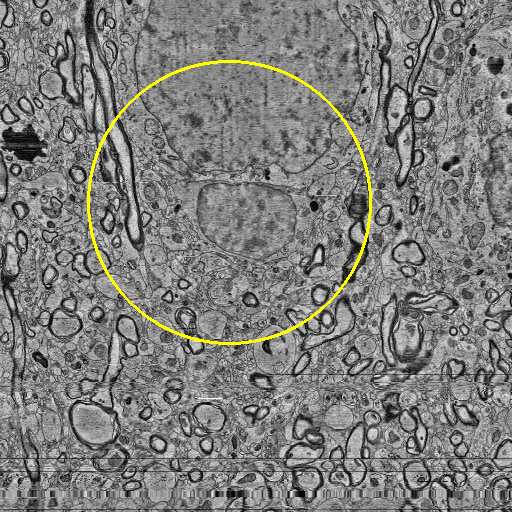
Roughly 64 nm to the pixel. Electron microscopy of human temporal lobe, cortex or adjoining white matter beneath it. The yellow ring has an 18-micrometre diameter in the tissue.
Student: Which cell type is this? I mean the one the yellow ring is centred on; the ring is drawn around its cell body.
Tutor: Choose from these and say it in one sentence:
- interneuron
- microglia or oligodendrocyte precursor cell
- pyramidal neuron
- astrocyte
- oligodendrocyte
The cell the ring is centred on is an oligodendrocyte.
